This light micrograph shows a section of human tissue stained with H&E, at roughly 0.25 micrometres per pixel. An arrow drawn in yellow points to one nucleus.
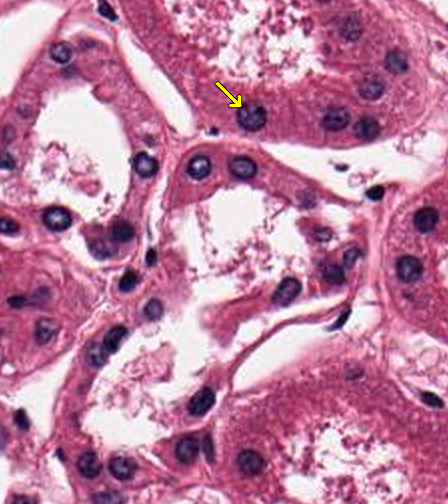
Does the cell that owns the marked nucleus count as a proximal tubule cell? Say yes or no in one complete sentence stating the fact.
Yes, the marked nucleus is to be assigned to a proximal tubule cell.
